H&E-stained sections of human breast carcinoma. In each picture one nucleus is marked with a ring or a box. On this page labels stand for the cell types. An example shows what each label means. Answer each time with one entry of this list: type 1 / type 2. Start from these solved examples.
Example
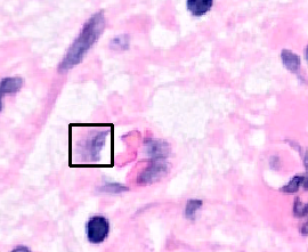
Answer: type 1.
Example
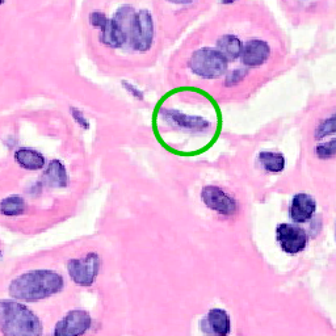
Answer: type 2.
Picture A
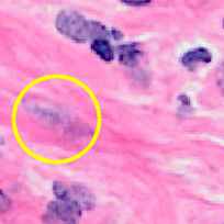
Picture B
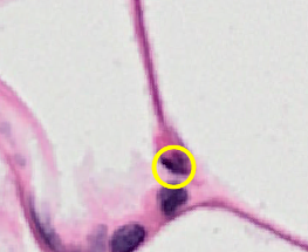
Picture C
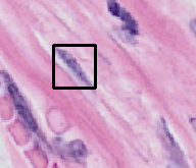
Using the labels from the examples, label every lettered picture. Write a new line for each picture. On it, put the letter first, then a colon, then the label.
A: type 2.
B: type 1.
C: type 2.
